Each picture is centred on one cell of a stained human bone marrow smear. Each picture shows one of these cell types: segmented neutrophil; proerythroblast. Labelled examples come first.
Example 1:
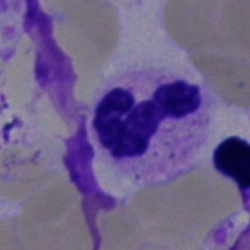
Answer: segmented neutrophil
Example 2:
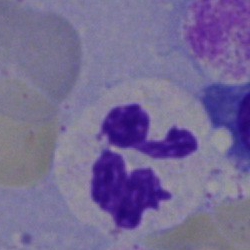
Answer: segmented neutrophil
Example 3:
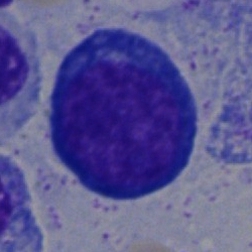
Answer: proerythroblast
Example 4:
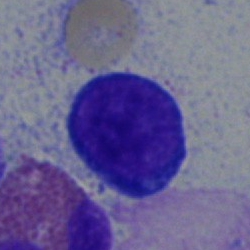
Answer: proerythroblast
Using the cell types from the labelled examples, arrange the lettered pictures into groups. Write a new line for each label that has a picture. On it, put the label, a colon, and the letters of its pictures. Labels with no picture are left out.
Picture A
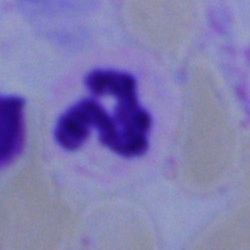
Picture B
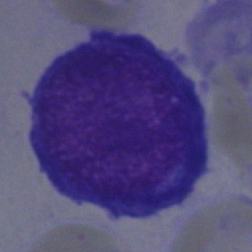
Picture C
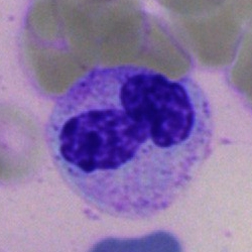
segmented neutrophil: A, C
proerythroblast: B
